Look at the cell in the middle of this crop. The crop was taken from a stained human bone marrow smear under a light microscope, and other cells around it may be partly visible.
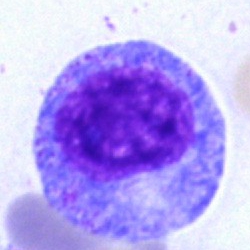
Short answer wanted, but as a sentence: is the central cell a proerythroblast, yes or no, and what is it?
No, the cell located centrally is a promyelocyte rather than a proerythroblast.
